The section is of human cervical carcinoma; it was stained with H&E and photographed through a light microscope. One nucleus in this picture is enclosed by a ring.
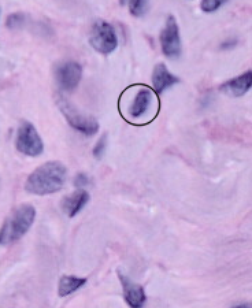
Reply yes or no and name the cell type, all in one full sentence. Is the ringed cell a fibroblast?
Yes, the ringed cell represents a fibroblast in this tissue.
